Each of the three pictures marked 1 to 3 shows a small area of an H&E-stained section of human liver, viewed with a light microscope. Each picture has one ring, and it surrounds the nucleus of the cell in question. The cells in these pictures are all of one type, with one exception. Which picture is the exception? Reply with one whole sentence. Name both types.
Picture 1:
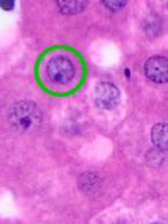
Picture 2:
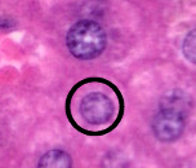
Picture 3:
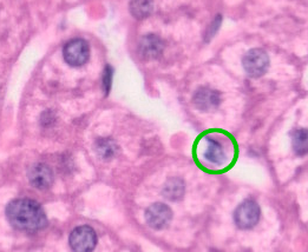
Unlike the rest, which show hepatocytes, picture 3 shows an endothelial cell.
